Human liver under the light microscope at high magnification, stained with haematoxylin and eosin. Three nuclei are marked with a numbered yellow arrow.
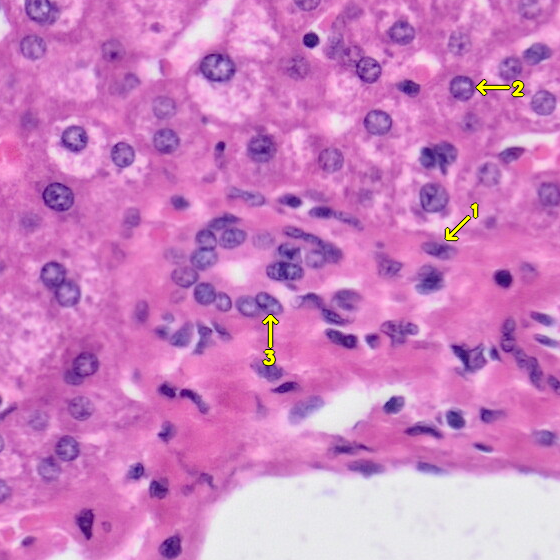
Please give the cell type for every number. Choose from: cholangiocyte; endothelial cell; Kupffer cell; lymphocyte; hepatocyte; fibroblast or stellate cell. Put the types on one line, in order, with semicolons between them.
fibroblast or stellate cell; hepatocyte; cholangiocyte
